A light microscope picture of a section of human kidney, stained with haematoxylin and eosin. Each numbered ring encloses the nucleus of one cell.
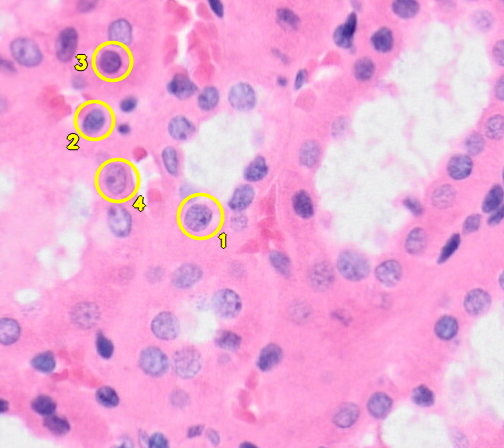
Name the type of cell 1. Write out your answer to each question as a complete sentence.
The cell referenced by the number 1 is a loop of Henle or distal tubule cell in this field.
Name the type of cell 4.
The cell carrying label 4 is identified as a proximal tubule cell.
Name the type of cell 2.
Belonging to an endothelial cell is the nucleus that carries the number 2.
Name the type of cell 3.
At number 3, the marked cell is a proximal tubule cell.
